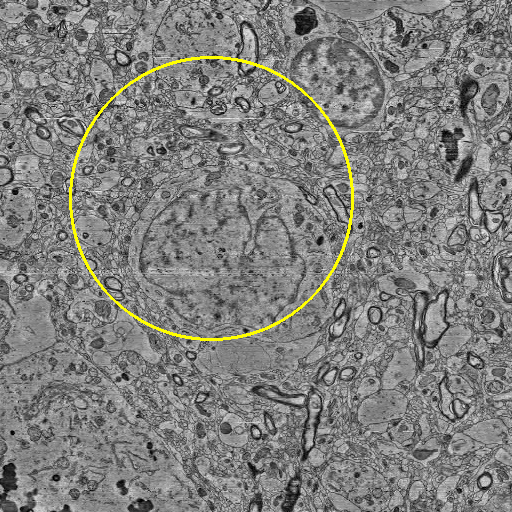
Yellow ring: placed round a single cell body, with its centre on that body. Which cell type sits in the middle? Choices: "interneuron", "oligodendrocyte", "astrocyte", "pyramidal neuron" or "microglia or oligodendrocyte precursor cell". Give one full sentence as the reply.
It is an interneuron whose cell body sits at the centre of the yellow ring.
